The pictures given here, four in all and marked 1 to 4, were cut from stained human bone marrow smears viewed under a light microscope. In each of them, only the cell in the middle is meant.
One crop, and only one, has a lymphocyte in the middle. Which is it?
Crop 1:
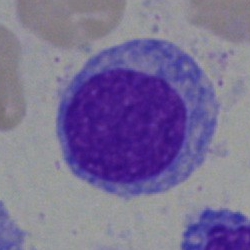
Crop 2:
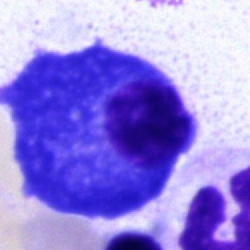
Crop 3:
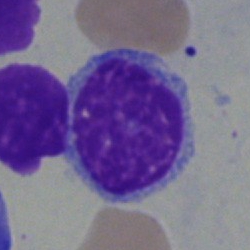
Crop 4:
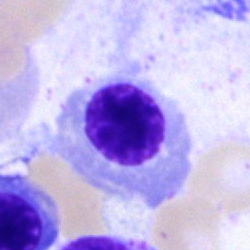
1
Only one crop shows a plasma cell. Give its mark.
2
